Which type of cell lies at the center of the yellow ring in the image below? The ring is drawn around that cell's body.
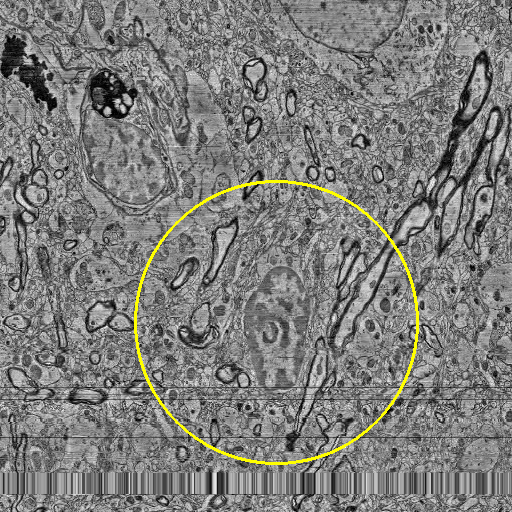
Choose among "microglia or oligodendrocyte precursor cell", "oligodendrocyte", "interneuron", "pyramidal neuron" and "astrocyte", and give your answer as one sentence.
The cell body at the center belongs to a microglial cell or oligodendrocyte precursor cell.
